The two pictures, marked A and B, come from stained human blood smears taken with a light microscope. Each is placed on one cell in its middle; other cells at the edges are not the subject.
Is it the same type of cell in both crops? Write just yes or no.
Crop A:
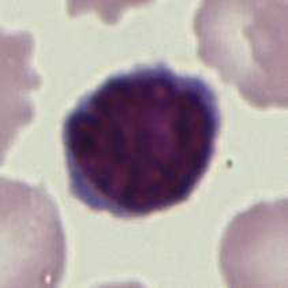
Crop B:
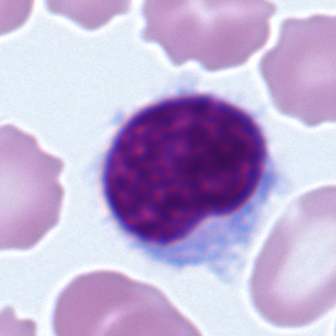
no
